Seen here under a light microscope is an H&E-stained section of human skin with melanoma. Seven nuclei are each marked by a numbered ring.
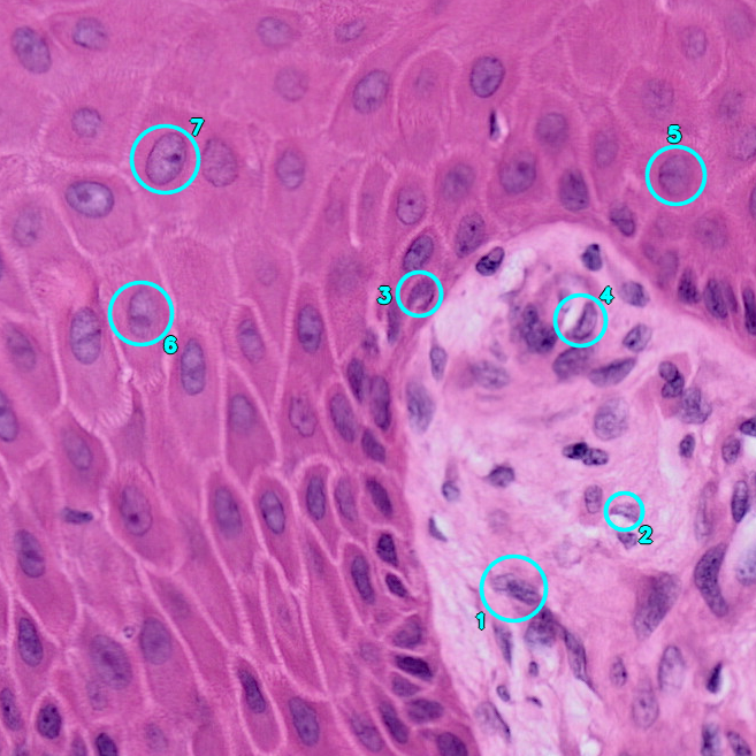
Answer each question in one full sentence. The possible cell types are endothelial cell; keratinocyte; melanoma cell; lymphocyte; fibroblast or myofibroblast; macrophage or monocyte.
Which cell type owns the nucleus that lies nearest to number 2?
The nearest nucleus to number 2 belongs to a lymphocyte.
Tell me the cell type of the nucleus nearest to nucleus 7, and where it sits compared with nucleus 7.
A keratinocyte lies closest, to the right of nucleus 7.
